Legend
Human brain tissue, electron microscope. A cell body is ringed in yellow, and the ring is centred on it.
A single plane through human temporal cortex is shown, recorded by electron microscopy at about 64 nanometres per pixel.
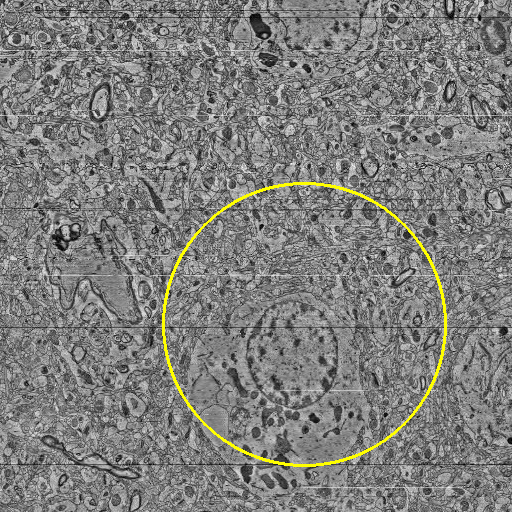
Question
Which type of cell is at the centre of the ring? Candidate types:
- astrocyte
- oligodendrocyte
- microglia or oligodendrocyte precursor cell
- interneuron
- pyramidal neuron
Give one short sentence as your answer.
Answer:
The yellow ring is centred here on an astrocyte.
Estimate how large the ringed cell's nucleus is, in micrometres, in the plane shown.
In this plane, the nucleus is roughly 7 by 6 micrometres.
